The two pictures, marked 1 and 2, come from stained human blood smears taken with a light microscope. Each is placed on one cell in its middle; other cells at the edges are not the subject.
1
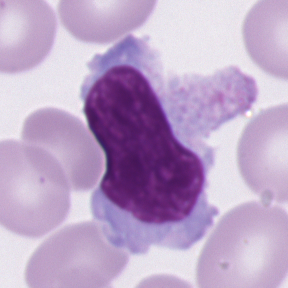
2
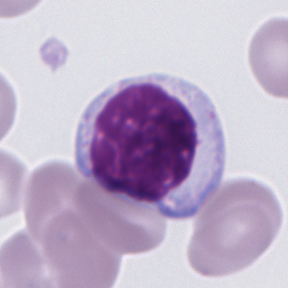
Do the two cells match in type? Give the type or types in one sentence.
Yes, the cells under consideration in both crops are large granular lymphocytes.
